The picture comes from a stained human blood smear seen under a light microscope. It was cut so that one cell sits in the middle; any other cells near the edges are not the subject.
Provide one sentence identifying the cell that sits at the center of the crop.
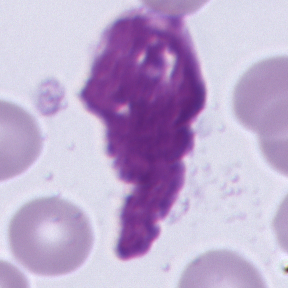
The cell shown in the center of this light-microscope crop is a smudge cell.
